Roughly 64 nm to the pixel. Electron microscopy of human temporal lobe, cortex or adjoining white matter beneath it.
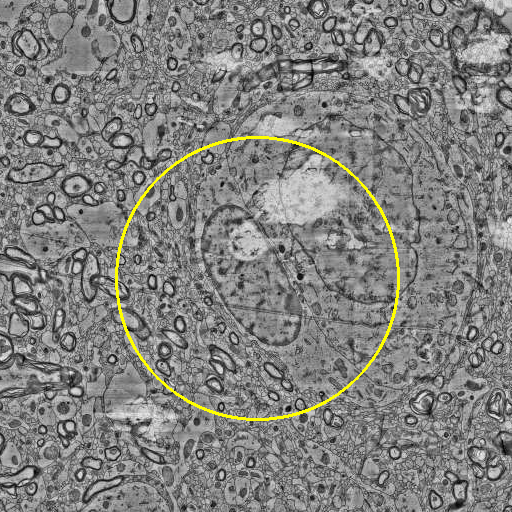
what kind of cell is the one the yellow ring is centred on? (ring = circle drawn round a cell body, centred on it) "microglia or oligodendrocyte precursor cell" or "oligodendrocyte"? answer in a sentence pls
The ring is drawn around a microglial cell or oligodendrocyte precursor cell.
